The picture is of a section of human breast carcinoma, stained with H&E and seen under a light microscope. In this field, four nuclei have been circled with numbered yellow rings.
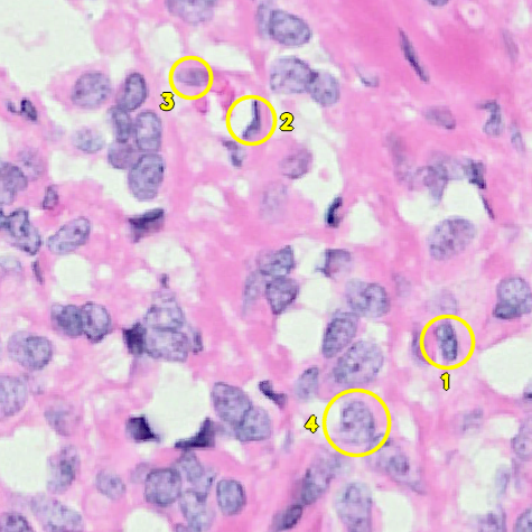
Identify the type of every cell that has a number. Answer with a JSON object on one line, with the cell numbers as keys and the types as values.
{"1": "endothelial cell", "2": "endothelial cell", "3": "endothelial cell", "4": "carcinoma cell"}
